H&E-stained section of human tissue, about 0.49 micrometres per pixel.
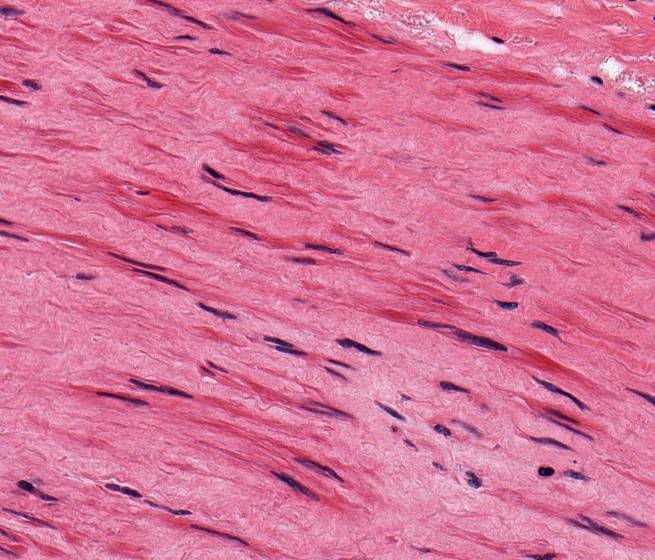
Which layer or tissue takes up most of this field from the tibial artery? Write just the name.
tunica media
